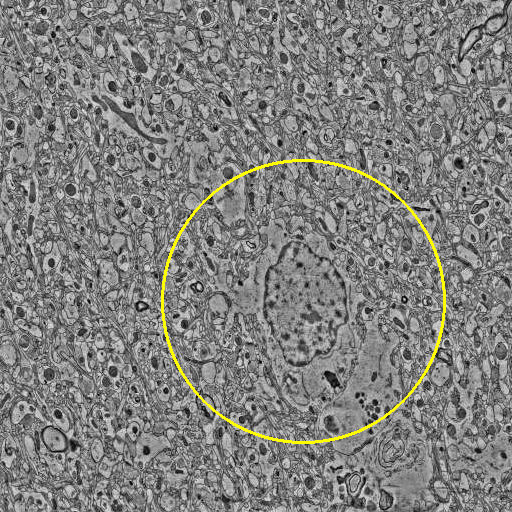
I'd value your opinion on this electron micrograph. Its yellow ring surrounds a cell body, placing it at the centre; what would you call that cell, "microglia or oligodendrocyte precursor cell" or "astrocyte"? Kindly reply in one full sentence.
It is an astrocyte that sits centred within the yellow ring in this micrograph.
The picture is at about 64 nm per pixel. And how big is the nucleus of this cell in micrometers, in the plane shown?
Roughly 8 by 5 micrometres is the size of the nucleus in this plane.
